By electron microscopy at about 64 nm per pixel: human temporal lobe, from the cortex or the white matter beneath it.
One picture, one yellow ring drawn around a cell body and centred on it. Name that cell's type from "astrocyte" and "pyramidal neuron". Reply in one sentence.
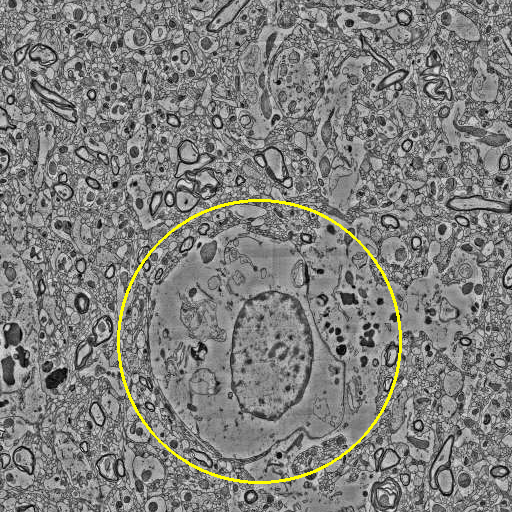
Centred in the ring is an astrocyte.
